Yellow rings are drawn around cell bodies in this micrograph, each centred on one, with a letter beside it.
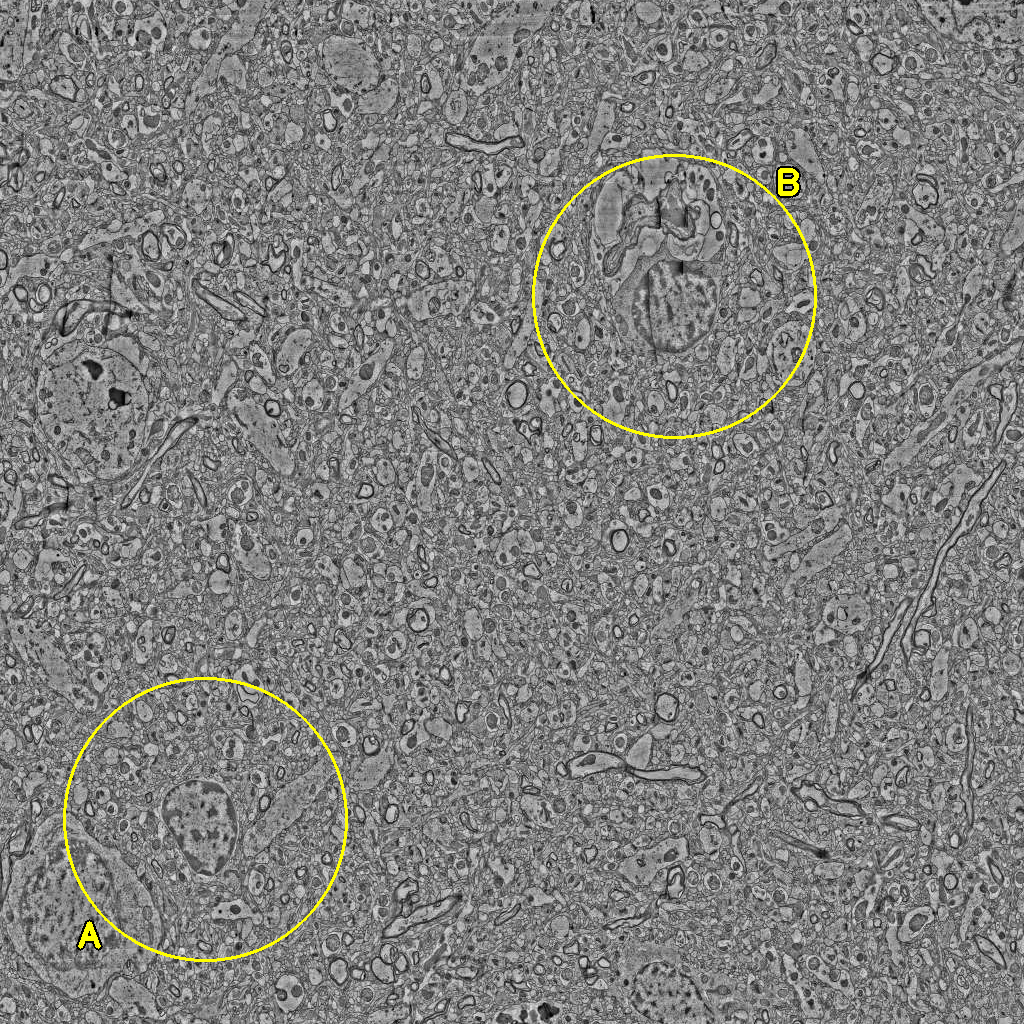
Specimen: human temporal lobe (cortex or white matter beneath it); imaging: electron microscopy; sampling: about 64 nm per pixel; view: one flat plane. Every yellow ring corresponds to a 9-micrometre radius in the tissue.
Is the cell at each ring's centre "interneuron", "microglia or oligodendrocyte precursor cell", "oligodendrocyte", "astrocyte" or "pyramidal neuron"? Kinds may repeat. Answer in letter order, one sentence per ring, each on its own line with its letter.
In ring A, the cell at the centre is a microglial cell or oligodendrocyte precursor cell.
In ring B, the cell at the centre is an oligodendrocyte.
